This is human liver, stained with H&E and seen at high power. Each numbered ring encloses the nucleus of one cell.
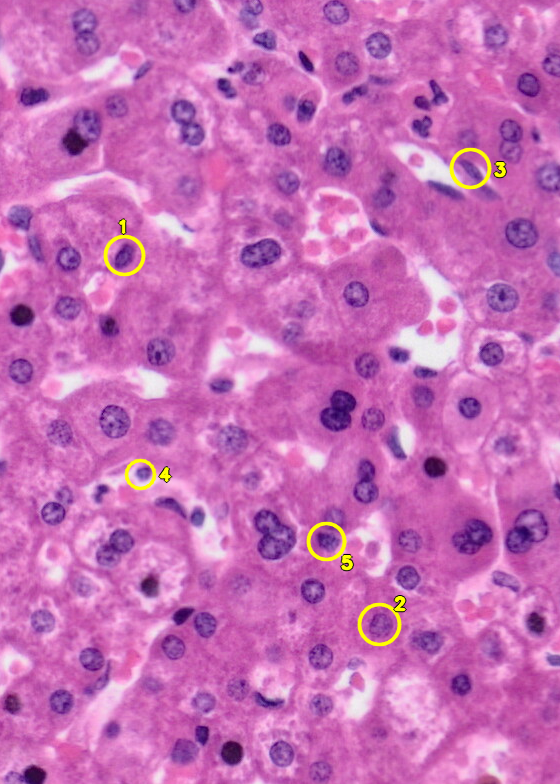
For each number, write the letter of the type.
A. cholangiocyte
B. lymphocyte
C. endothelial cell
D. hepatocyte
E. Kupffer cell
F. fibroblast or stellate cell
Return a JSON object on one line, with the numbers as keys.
{"1": "F", "2": "D", "3": "F", "4": "B", "5": "F"}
